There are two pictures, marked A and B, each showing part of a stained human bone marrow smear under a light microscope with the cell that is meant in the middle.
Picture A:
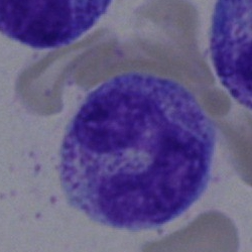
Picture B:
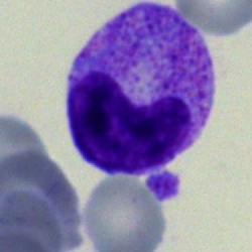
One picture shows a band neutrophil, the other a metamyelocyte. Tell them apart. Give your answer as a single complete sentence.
Picture A is of a band neutrophil, and picture B is of a metamyelocyte.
